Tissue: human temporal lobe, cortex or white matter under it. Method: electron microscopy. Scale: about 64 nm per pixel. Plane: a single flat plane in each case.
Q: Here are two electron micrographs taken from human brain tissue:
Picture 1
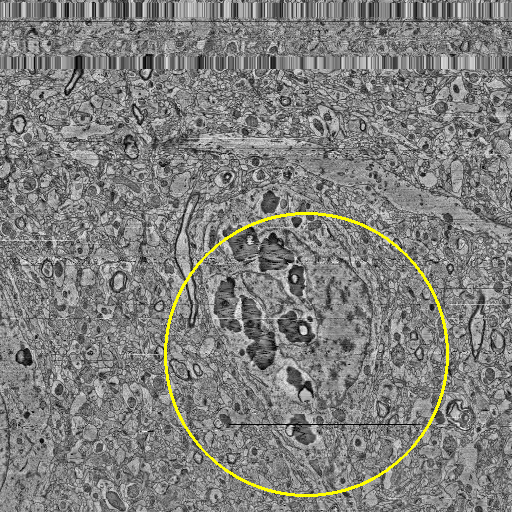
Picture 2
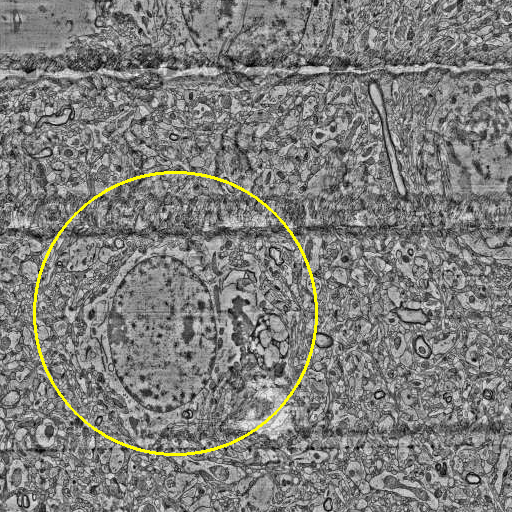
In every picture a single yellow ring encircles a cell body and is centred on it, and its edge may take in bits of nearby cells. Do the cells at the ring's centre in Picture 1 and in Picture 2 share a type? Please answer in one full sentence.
No, the cells at the ring's centre in Picture 1 and Picture 2 are of two types.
